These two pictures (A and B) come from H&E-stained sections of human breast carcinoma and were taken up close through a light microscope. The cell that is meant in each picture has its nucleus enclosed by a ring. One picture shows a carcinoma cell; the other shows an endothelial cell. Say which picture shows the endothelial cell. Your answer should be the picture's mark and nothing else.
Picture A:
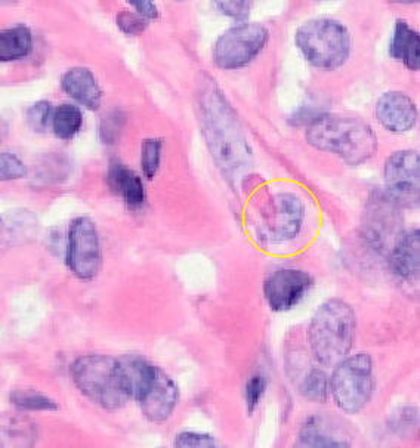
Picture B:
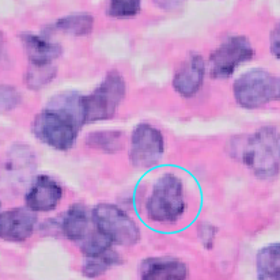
A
